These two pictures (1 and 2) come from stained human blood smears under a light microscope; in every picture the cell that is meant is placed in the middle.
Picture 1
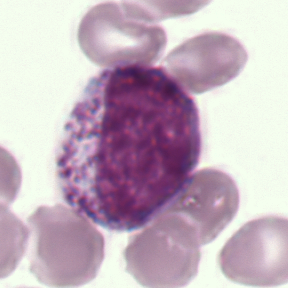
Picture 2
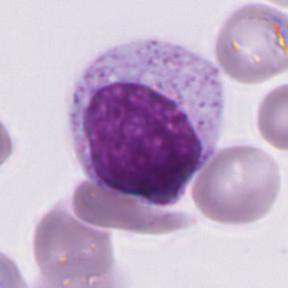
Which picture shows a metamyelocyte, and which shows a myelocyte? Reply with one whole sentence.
In picture 1 the cell is a metamyelocyte; in picture 2, a myelocyte.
